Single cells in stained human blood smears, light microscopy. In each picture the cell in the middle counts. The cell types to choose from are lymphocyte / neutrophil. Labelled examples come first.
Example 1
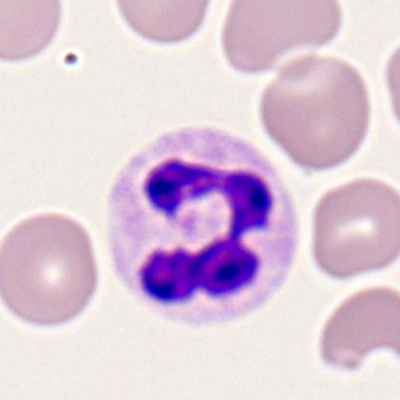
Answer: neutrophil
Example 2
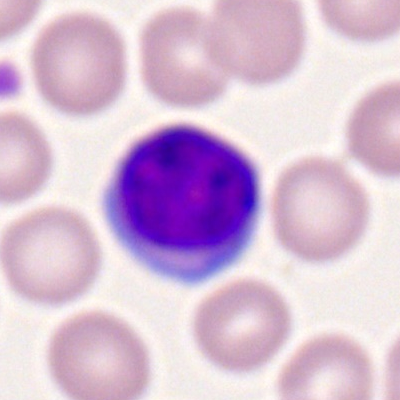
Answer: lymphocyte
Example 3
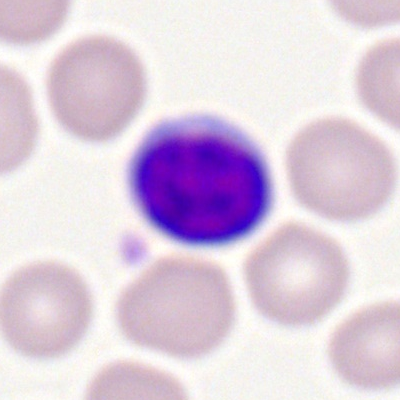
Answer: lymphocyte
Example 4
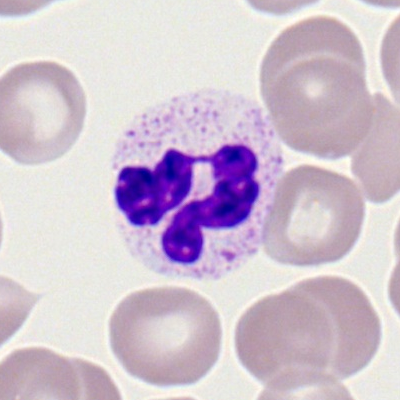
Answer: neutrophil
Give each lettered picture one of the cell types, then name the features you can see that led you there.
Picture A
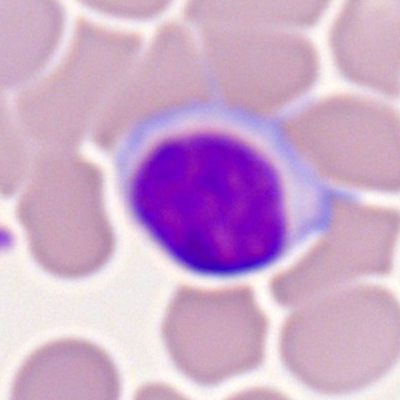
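lymphocyte. The nucleus fills most of the cell.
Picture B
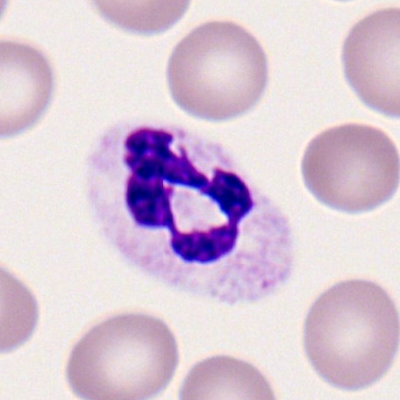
neutrophil. The cytoplasm is abundant and pale pinkish-lilac.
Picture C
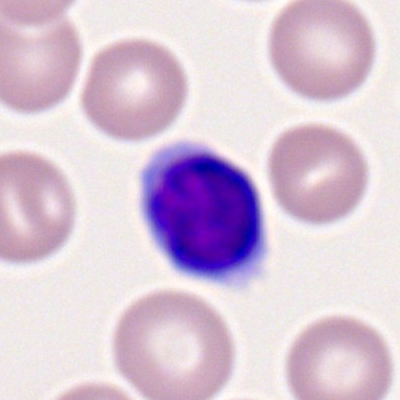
lymphocyte. Only a scant rim of pale blue cytoplasm is visible around the nucleus.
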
